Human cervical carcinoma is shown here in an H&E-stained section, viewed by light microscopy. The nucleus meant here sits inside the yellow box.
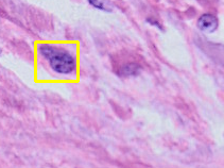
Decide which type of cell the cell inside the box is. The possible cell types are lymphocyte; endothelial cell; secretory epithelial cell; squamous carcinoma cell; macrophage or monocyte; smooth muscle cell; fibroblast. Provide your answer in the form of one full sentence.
Recorded by type, the cell inside the box is a macrophage or monocyte.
